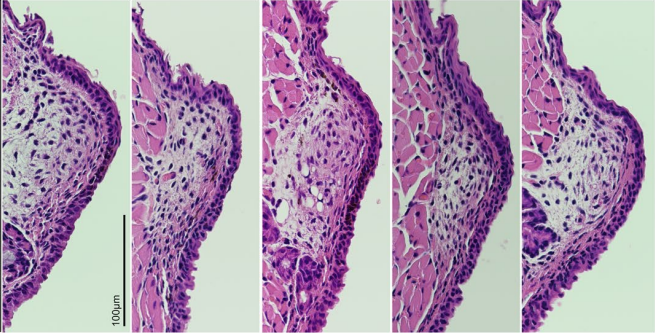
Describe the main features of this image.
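Vocal fold in five side-by-side sections, each a rounded fold covered by a stratified epithelium of a few cell layers with dark purple nuclei. Beneath lies loose, pale connective tissue with scattered spindle-shaped nuclei, and deeper, at the left, pink cross-cut skeletal muscle fibres.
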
